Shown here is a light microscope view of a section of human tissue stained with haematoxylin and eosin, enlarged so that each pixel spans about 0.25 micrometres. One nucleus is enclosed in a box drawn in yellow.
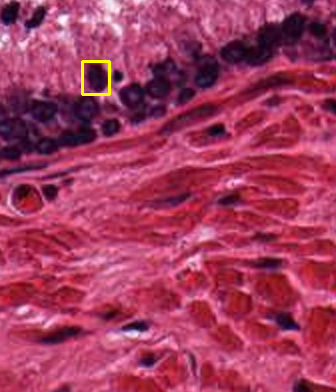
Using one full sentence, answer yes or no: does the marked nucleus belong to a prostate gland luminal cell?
Yes, a prostate gland luminal cell contains the marked nucleus.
